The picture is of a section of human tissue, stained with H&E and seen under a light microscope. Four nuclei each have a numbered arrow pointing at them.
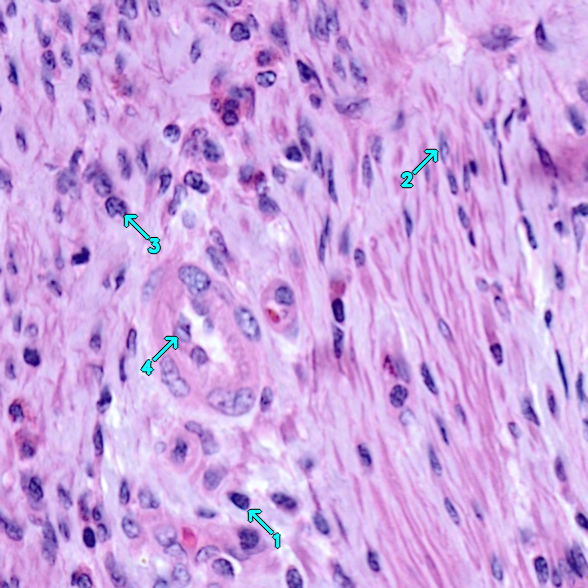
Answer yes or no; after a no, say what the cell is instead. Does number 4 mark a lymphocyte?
No, it is an endothelial cell.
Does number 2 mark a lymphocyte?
No, it is a smooth muscle cell.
